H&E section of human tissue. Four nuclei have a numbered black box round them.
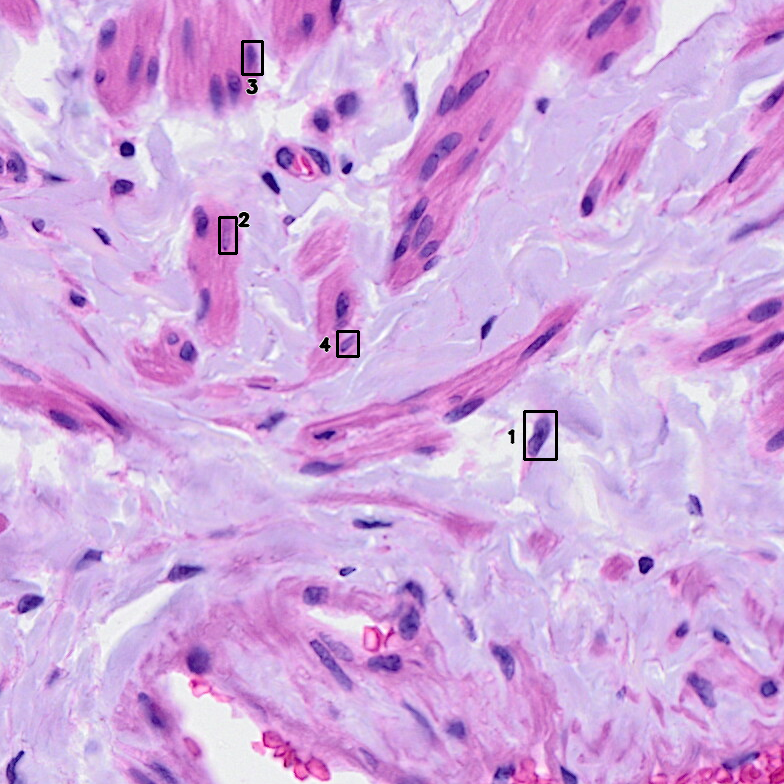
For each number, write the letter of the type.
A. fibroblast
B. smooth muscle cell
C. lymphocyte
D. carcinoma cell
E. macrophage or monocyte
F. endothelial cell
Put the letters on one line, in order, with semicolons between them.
A; B; B; B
